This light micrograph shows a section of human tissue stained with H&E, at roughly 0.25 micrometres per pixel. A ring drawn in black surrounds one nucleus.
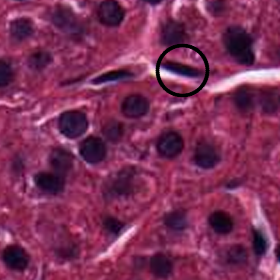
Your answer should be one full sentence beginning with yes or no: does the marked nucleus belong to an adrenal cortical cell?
No, the marked nucleus is not part of an adrenal cortical cell and instead belongs to a supporting cell.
